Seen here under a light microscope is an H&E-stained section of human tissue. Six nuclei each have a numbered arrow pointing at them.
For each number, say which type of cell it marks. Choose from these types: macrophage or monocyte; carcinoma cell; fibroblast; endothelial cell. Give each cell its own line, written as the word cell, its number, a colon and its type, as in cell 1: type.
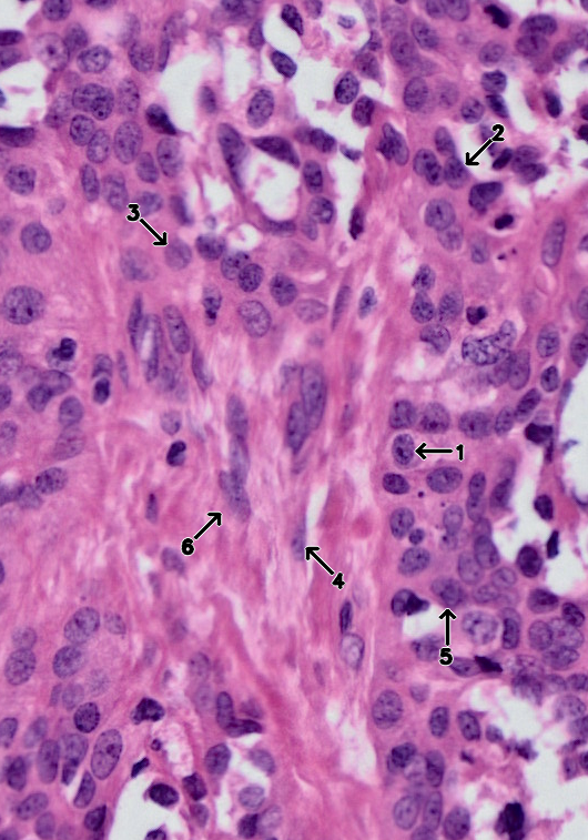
cell 1: macrophage or monocyte
cell 2: carcinoma cell
cell 3: carcinoma cell
cell 4: fibroblast
cell 5: carcinoma cell
cell 6: fibroblast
